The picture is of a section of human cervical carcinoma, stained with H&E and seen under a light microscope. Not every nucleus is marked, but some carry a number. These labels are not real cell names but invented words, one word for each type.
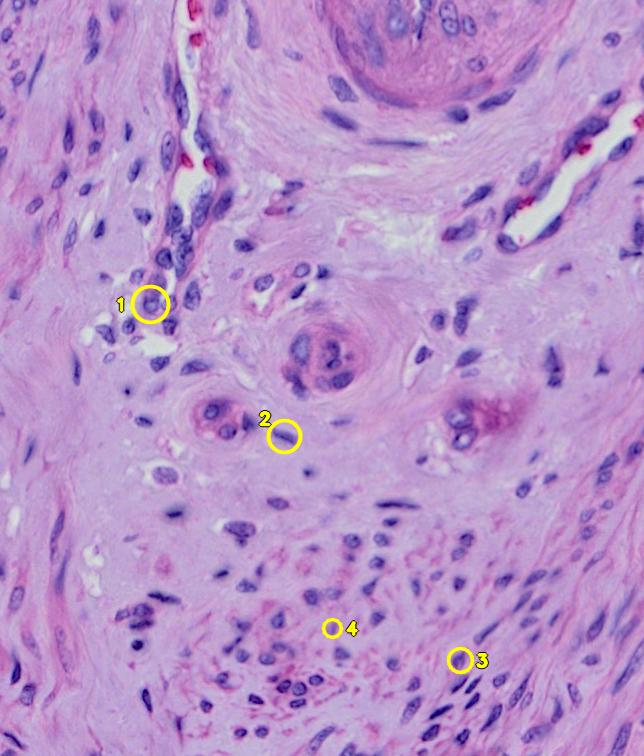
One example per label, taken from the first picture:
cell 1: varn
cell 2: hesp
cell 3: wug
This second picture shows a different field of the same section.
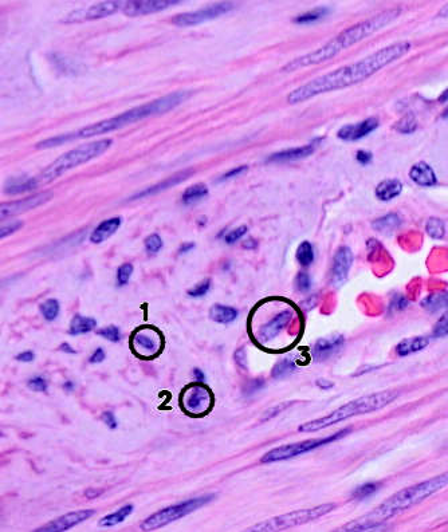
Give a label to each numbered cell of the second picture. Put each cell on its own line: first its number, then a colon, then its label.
1: wug
2: hesp
3: varn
